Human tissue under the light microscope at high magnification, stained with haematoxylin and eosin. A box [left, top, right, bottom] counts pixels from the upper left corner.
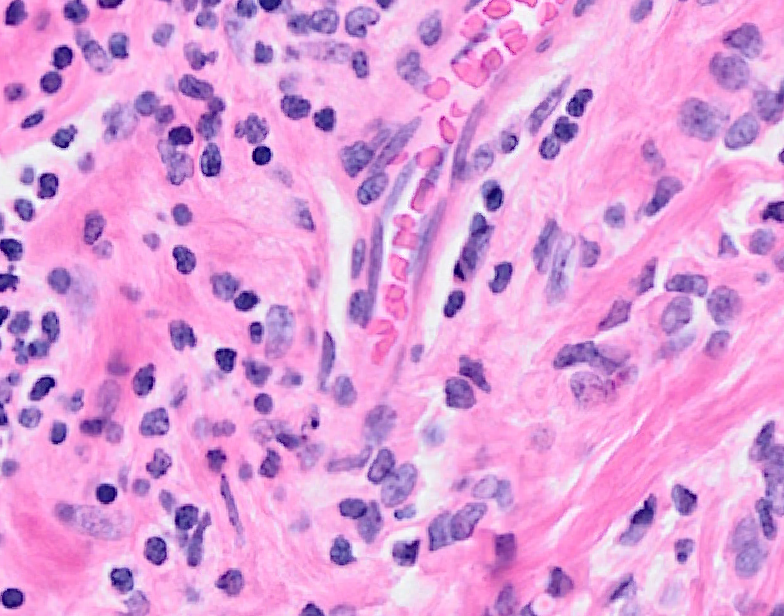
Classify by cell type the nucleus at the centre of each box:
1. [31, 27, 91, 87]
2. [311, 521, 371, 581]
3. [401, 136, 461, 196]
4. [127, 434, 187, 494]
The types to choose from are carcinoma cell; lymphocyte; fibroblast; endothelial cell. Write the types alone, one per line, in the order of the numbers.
lymphocyte
lymphocyte
endothelial cell
lymphocyte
